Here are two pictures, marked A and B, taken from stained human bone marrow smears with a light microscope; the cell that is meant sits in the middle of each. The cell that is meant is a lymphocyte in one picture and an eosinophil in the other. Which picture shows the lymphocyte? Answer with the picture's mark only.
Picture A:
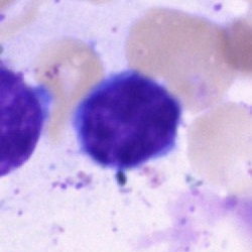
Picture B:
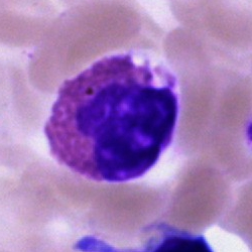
A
